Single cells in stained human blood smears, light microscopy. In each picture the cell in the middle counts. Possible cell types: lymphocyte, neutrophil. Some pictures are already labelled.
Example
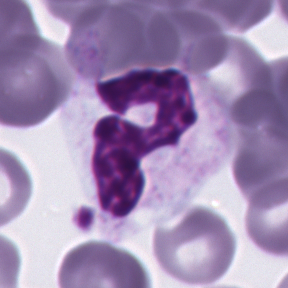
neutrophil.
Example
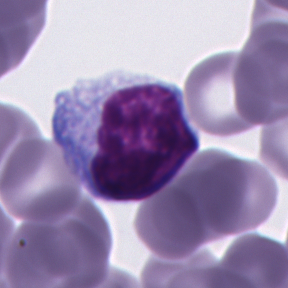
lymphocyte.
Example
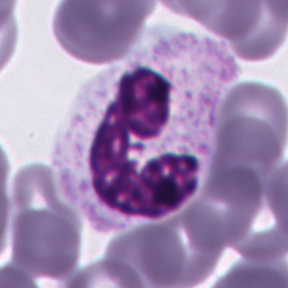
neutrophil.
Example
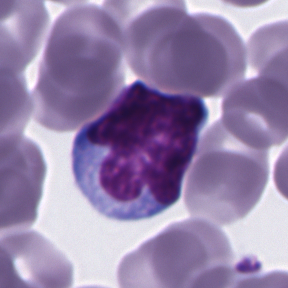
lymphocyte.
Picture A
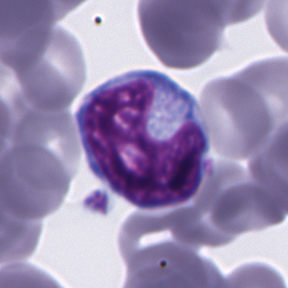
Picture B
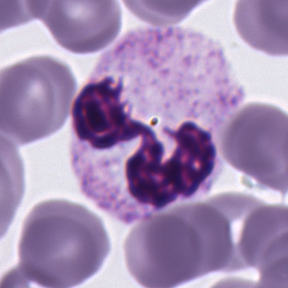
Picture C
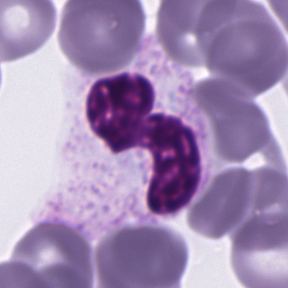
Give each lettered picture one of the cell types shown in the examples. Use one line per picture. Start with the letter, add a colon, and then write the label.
A: lymphocyte.
B: neutrophil.
C: neutrophil.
